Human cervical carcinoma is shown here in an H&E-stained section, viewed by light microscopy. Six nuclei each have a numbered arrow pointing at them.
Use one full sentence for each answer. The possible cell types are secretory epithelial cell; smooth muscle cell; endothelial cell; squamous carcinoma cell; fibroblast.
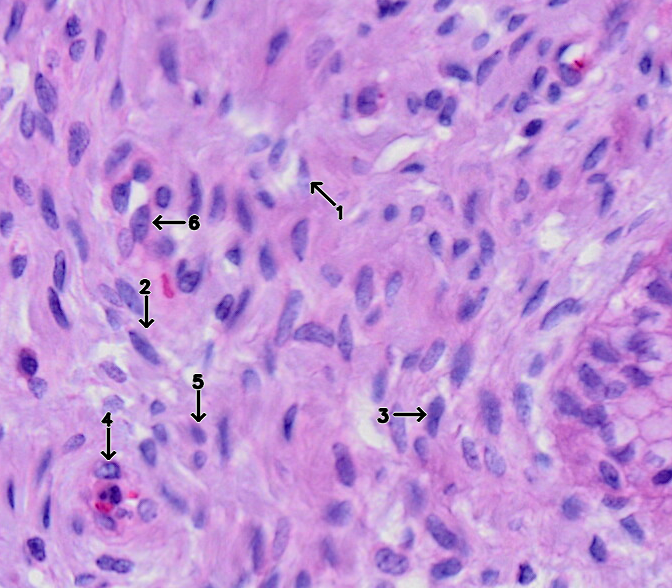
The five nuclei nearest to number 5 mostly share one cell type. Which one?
The majority of the five nuclei closest to number 5 belong to fibroblasts.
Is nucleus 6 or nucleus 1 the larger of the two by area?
Of the two, number 6 is bigger and takes up about 2 times the area of number 1.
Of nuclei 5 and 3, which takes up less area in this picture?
With nucleus 3 about 2.5 times its size, nucleus 5 is the smaller of the two.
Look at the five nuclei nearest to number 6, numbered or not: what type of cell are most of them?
Around number 6, most of the five nearest nuclei are those of endothelial cells.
